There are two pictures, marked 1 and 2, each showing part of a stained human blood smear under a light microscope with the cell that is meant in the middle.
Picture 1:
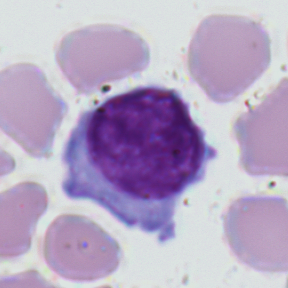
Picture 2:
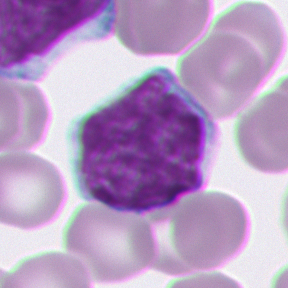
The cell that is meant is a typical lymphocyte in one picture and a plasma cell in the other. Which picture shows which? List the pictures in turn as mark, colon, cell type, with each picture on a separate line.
1: plasma cell
2: typical lymphocyte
